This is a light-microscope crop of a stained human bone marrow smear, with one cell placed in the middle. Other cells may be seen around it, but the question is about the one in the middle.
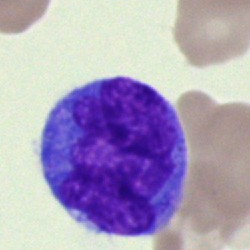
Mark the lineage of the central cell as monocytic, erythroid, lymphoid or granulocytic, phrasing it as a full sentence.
It is to the monocytic lineage that the middle cell belongs.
